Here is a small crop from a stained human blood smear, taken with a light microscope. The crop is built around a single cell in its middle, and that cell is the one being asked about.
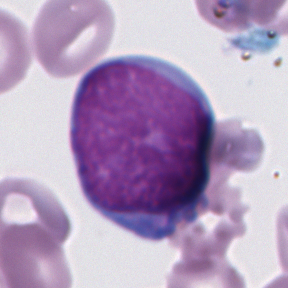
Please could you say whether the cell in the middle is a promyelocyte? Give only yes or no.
no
